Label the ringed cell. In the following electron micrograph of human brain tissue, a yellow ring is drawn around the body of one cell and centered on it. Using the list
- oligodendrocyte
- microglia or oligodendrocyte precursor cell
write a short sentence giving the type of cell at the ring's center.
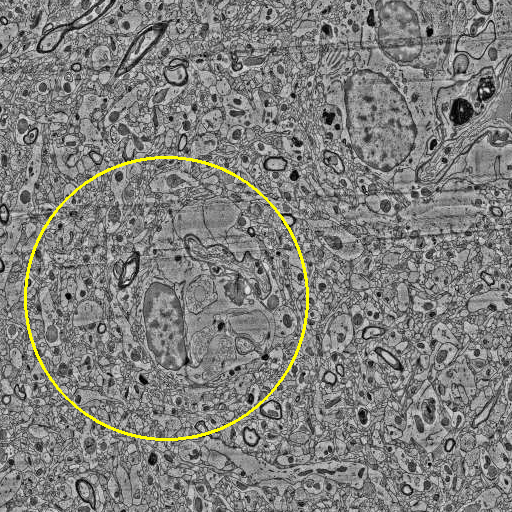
The cell body at the ring's center is that of a microglial cell or oligodendrocyte precursor cell.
